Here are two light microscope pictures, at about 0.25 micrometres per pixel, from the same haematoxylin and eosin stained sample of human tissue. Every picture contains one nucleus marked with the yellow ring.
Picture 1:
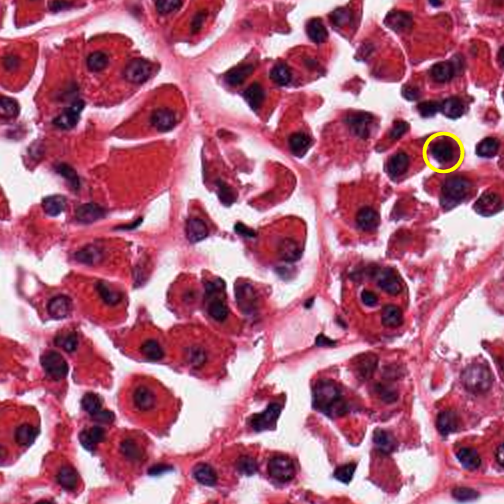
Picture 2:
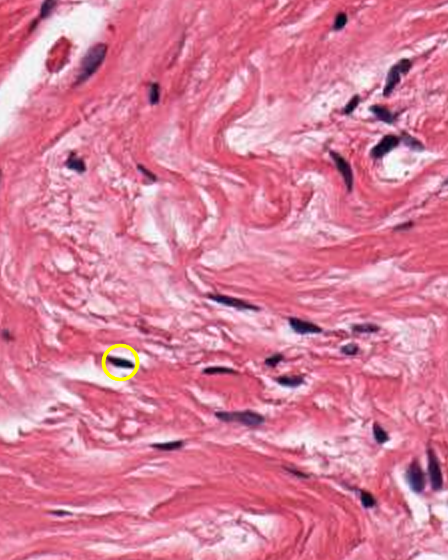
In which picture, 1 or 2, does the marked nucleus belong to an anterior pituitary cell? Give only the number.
1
